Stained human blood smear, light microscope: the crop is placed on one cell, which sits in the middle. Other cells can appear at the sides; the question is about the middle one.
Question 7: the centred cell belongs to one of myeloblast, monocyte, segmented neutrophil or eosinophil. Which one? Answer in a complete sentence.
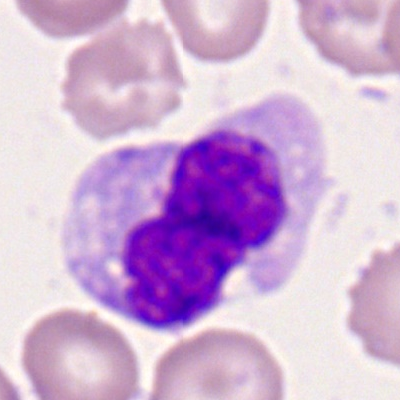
Classification of the middle cell gives a monocyte.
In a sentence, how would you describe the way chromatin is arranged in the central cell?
If you check the nucleus, you will find the chromatin coarsely clumped.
